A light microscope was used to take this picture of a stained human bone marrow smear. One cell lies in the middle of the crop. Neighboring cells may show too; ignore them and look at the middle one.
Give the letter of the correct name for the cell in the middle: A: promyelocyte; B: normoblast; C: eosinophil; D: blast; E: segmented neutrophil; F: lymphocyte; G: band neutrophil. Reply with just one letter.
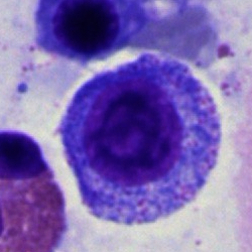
A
